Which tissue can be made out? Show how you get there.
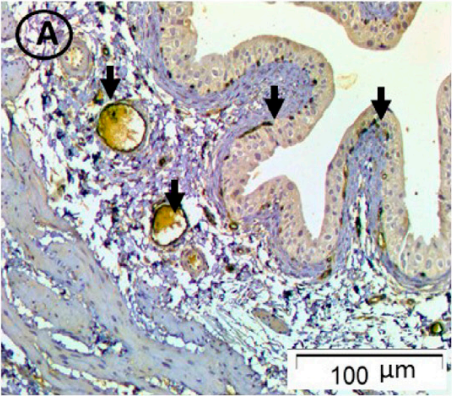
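A folded multilayered epithelium lines a branching lumen. The epithelium rests on loose connective tissue with small vessels.
Answer: uroepithelium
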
